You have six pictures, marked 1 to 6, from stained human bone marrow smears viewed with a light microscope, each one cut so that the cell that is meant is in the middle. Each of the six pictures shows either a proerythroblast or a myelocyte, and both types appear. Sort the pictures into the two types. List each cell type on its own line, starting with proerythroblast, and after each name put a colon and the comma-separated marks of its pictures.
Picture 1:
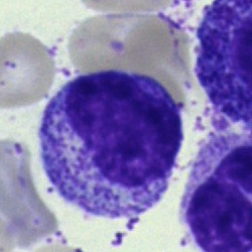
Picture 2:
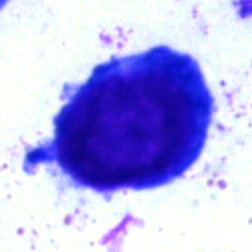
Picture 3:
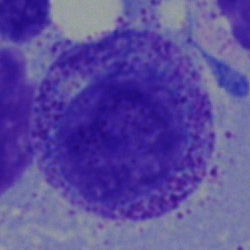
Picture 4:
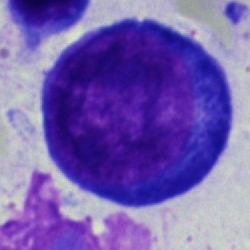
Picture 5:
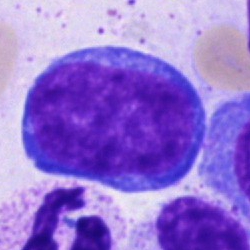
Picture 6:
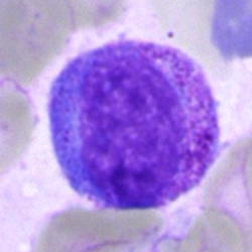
proerythroblast: 2, 4, 5
myelocyte: 1, 3, 6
